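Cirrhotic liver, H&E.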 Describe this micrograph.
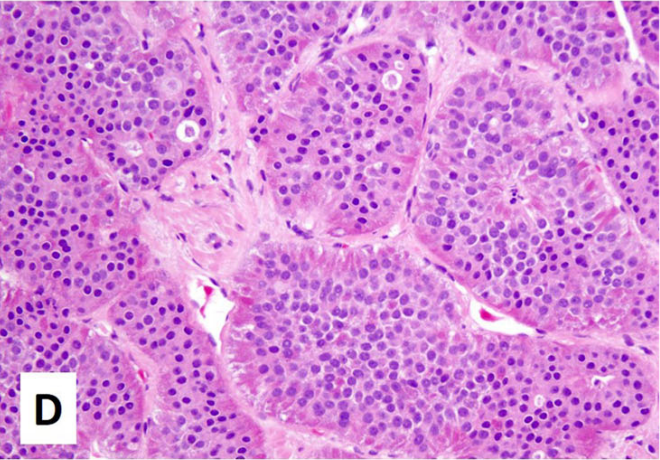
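A well-differentiated neuroendocrine tumor deposit made of nests and trabeculae of closely packed, uniform cells. The cells have round, evenly sized nuclei with finely granular chromatin and moderate pink cytoplasm, and a few small round gland-like lumens form within the nests. Thin pink fibrous septa separate the nests.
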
